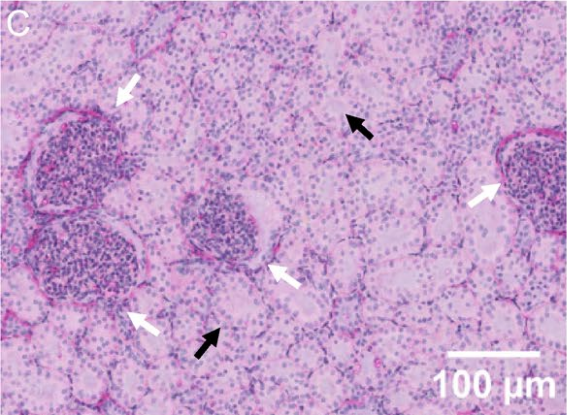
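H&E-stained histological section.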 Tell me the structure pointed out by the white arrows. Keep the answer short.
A: Renal corpuscles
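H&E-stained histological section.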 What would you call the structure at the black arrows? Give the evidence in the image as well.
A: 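Round to oval profiles lined by cells with pale pink cytoplasm. Nuclei lie along the tubular walls. Profiles are closely packed, separated by thin pink strands.
Conclusion: convoluted tubules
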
